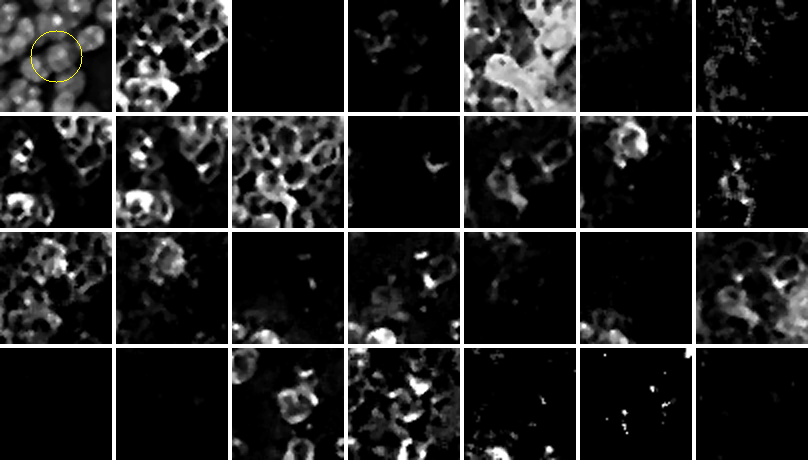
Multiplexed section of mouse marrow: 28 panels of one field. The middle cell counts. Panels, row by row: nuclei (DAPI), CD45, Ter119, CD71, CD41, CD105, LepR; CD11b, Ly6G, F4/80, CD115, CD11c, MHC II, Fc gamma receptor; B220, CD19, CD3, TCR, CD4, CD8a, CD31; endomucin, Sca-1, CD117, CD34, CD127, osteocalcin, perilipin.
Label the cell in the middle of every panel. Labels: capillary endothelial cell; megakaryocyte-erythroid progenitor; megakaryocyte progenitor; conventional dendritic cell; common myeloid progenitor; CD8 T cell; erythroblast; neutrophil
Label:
megakaryocyte progenitor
